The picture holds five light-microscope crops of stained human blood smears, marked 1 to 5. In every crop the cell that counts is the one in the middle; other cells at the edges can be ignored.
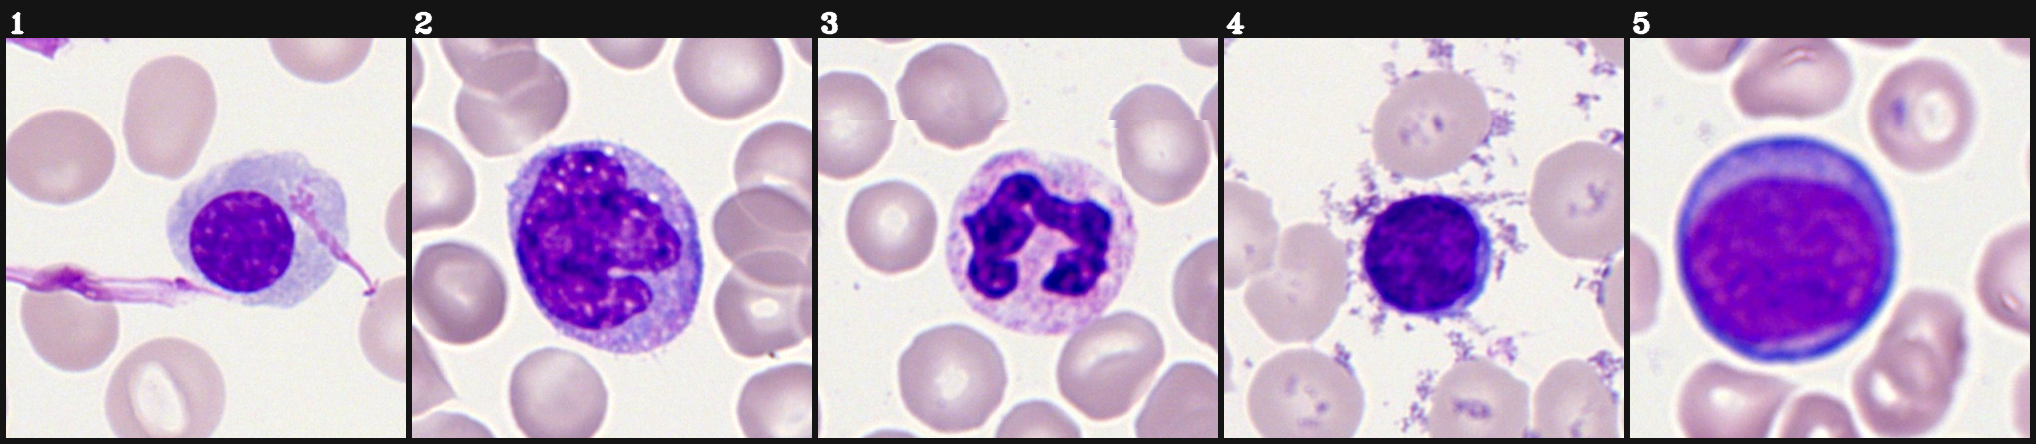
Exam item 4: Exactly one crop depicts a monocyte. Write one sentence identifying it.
Of the labeled crops, the one with a monocyte is crop 2.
